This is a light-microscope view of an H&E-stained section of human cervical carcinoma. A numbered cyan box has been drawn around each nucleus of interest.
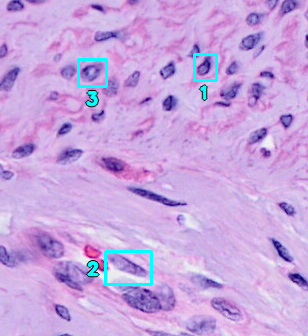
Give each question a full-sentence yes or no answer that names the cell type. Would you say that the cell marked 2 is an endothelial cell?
Yes, in the section, number 2 is an endothelial cell.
